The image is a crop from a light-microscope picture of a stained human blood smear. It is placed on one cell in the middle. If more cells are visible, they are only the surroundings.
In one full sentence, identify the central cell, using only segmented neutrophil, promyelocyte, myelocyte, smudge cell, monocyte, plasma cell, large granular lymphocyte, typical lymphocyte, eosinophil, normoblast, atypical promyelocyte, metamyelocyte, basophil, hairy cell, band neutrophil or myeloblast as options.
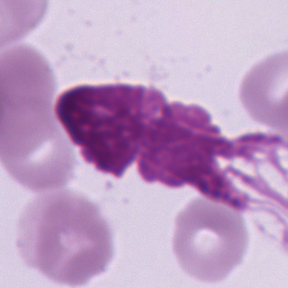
The centrally placed cell is classified as a smudge cell.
